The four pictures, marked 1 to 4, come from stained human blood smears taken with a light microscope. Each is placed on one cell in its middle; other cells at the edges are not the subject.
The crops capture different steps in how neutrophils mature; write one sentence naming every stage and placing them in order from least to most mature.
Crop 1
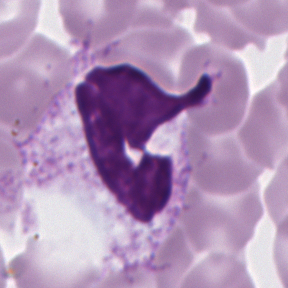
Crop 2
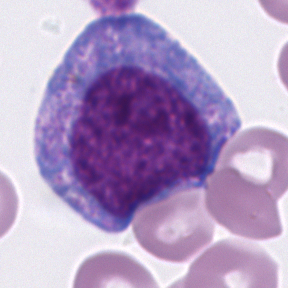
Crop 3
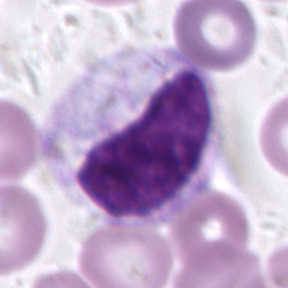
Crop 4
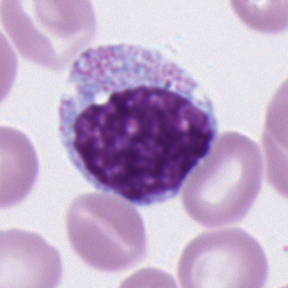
Reading from least to most mature, the order comes out as crop 2 (a promyelocyte), crop 4 (a myelocyte), crop 3 (a metamyelocyte) and crop 1 (a segmented neutrophil).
